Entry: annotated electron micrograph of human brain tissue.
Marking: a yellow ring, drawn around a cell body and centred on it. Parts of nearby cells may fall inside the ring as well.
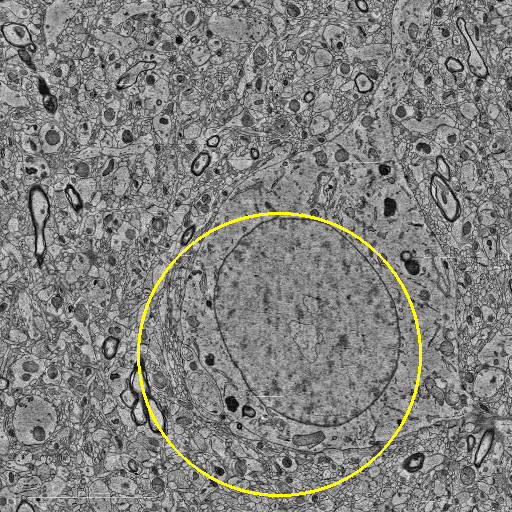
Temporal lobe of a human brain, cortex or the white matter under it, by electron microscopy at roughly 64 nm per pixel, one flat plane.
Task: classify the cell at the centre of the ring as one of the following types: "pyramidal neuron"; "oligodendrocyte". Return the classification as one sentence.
The marked cell is classified as a pyramidal neuron.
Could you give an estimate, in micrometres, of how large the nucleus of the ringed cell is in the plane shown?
In this plane the nucleus is about 14 micrometres by 11.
